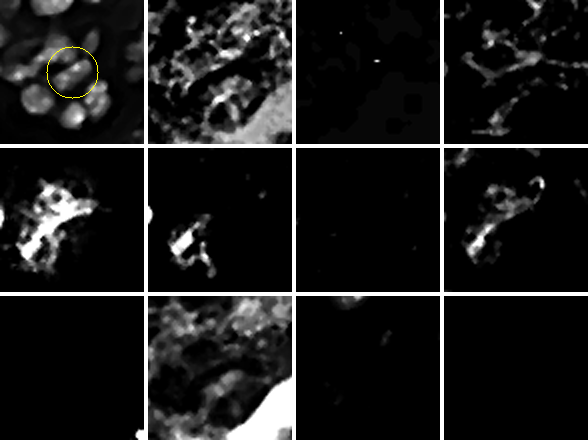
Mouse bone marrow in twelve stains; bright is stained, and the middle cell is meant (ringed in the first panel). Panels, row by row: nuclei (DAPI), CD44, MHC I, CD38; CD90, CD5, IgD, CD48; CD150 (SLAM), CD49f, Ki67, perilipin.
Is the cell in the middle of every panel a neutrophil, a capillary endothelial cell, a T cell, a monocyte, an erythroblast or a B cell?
It is a capillary endothelial cell.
